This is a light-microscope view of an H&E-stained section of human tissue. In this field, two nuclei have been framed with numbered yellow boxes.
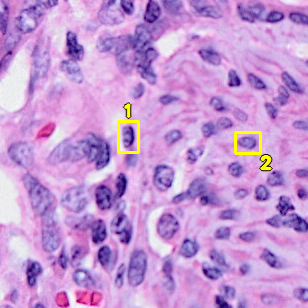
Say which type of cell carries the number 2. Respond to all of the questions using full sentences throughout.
The cell indicated with the number 2 is classed as a smooth muscle cell.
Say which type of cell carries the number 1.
The cell that carries the label 1 is a lymphocyte.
